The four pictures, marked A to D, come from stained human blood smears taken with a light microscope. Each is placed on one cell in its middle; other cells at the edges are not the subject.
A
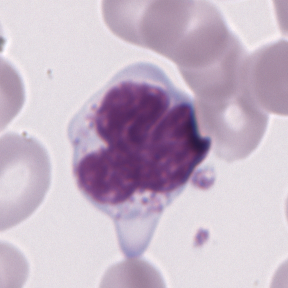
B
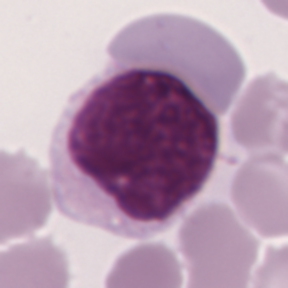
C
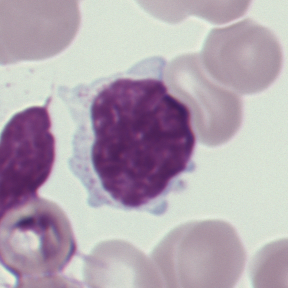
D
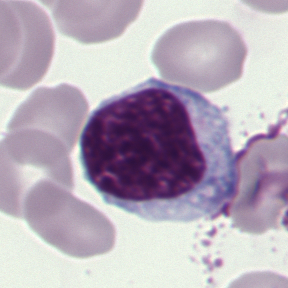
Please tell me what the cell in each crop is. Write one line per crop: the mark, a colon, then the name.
A: large granular lymphocyte
B: myeloblast
C: large granular lymphocyte
D: typical lymphocyte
